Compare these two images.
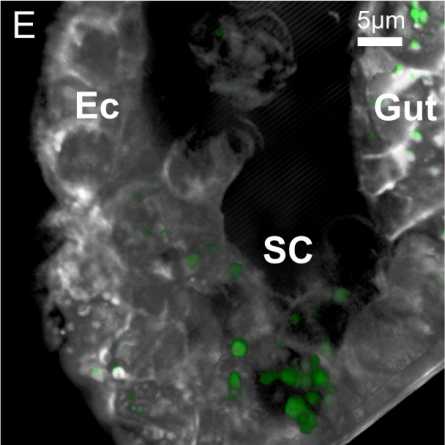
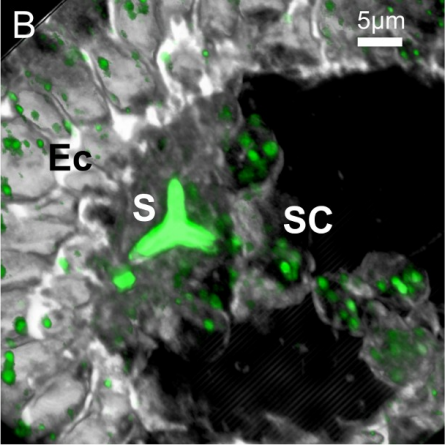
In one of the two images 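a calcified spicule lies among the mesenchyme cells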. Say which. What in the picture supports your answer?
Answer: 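First image: only small scattered green granules, no large continuous green structure. Second image: a large, bright green three-armed structure sits among the rounded cells.
Conclusion: the second image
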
